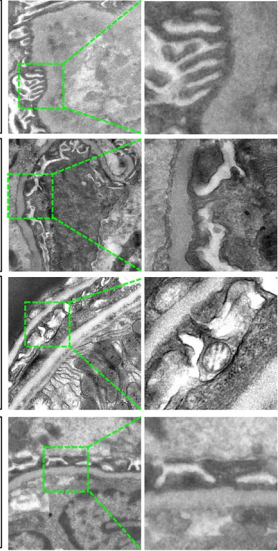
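Electron micrographs of the glomerular filtration barrier, each shown at low magnification beside an enlarged view of the boxed area. A grey glomerular basement membrane runs as a band, with podocyte foot processes resting on one side of it.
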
